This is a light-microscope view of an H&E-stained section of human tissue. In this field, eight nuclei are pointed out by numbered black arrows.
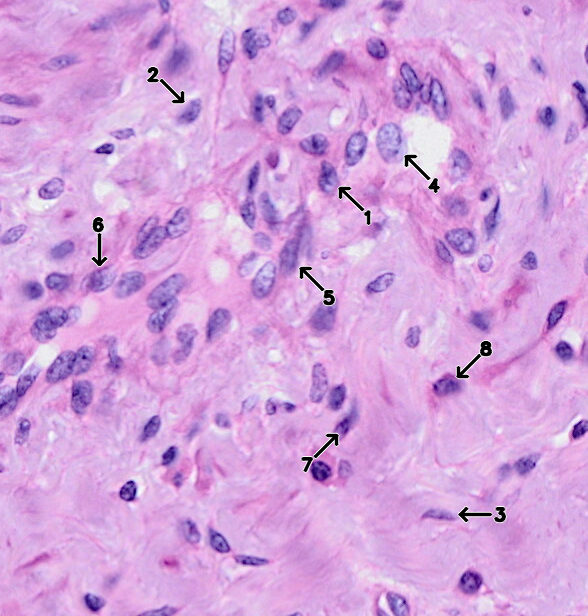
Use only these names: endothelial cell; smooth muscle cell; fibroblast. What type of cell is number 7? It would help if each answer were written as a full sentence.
It is as a fibroblast that the cell numbered 7 is identified.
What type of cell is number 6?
The label 6 in this section denotes an endothelial cell.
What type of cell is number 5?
The cell identified by number 5 is an endothelial cell.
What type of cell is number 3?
In this section, the cell numbered 3 is a fibroblast.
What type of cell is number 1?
Cell 1, as marked in the section, is an endothelial cell.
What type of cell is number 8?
The nucleus with number 8 is that of a smooth muscle cell.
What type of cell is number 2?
The cell tagged with 2 in this tissue section is a fibroblast.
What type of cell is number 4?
The correct answer for cell 4 is an endothelial cell.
